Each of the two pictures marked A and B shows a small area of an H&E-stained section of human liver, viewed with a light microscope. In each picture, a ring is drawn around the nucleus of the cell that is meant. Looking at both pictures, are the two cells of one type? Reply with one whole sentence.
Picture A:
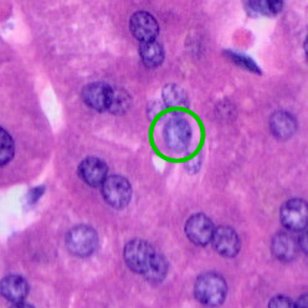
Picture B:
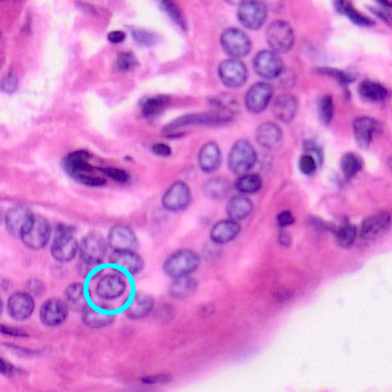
Yes, the two pictures both show cholangiocytes.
